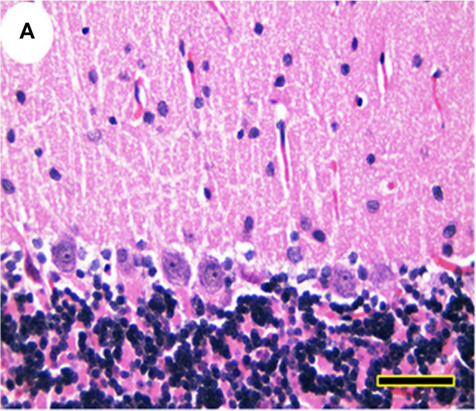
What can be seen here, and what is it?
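Cerebellar cortex showing its three layers. Above lies a wide, pale pink fibrillar molecular layer with scattered small cells with oval nuclei and a few thin vessels. In the middle, a single row of large Purkinje cells sits at the border, each with abundant pale purple cytoplasm and a round, pale vesicular nucleus with a prominent nucleolus. Below lies the granular layer, packed with numerous small round, darkly stained nuclei of granule cells, separated by small pink areas. The layers are orderly and the cells look intact.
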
